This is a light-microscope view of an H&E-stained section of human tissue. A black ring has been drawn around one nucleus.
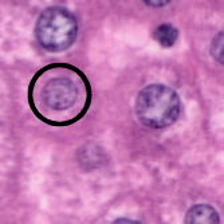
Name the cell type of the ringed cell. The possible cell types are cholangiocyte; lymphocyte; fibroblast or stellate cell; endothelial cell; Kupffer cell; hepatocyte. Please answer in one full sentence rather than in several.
In the stained section, the ringed cell is a hepatocyte.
